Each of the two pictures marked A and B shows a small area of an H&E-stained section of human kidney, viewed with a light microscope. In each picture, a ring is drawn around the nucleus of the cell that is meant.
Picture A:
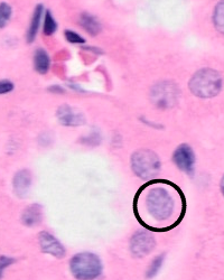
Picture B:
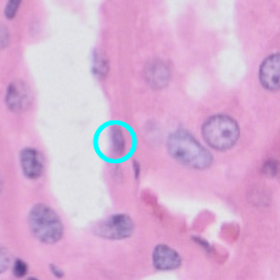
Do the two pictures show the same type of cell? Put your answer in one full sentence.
Yes; the cells in both pictures are “loop of Henle or distal tubule cells”.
